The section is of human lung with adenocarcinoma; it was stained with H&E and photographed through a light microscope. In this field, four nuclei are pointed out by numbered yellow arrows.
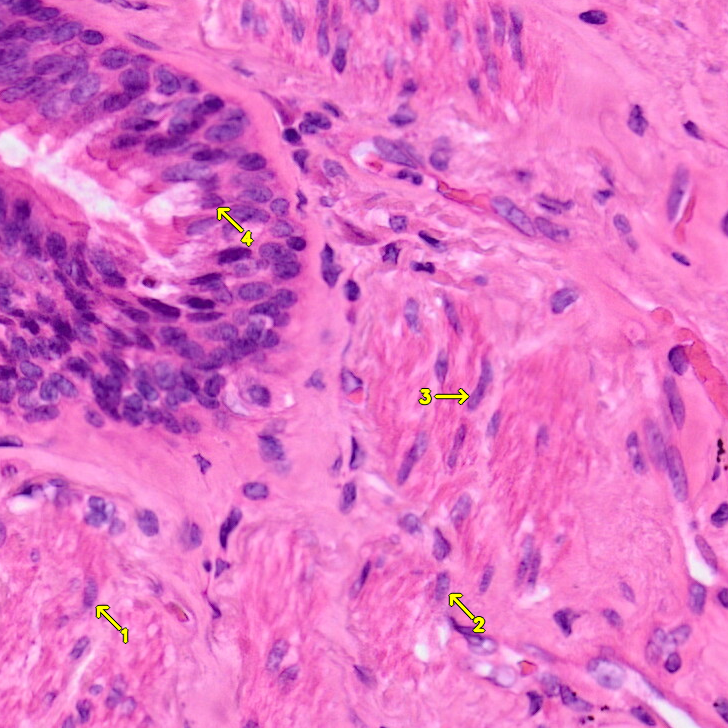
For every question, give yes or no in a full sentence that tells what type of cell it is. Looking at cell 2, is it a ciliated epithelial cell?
No, cell 2 is not a ciliated epithelial cell at all but a smooth muscle cell or pericyte.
